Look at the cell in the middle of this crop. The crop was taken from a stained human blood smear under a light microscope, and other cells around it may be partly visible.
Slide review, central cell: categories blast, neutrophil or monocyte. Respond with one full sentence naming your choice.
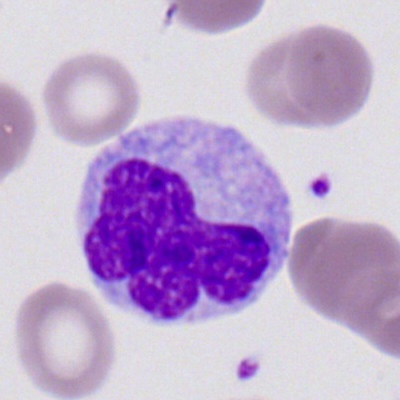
The cell in the exact centre of the crop is a monocyte.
